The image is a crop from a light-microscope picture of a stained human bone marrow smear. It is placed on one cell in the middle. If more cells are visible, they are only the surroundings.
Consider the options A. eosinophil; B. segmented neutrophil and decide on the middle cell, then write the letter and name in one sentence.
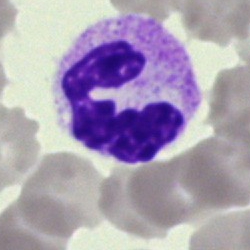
Option B stands as correct, the central cell being a segmented neutrophil.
